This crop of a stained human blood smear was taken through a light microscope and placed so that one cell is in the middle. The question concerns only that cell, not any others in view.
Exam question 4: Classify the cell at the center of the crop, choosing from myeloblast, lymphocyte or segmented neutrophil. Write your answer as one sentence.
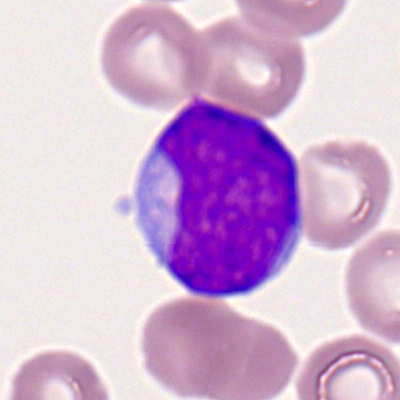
The cell at the centre of the field is a myeloblast.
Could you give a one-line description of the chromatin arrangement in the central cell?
The chromatin is fine, with no coarse clumping anywhere.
